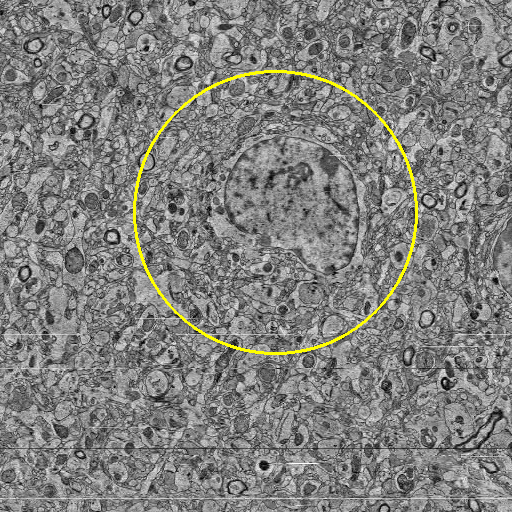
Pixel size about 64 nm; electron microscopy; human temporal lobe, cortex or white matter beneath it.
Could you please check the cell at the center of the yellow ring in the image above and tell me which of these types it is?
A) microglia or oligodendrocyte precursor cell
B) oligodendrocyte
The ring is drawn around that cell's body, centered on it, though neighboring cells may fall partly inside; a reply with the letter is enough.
A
